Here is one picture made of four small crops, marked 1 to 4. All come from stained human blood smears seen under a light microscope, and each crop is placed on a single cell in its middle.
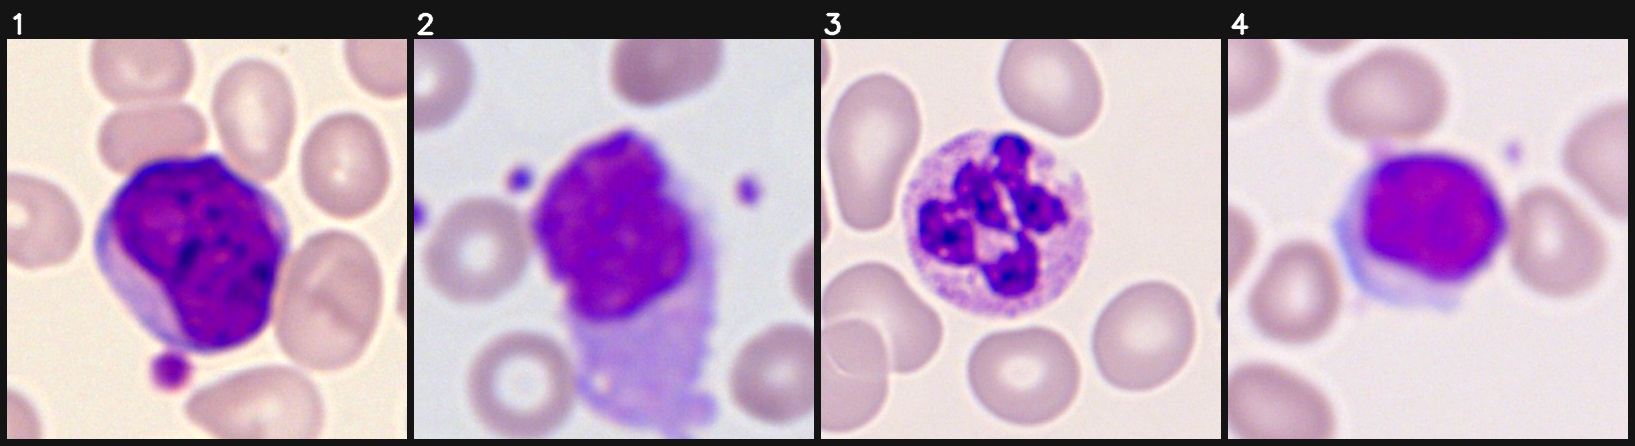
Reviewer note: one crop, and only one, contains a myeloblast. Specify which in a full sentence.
Among all the crops given here, the one with a myeloblast is crop 1.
